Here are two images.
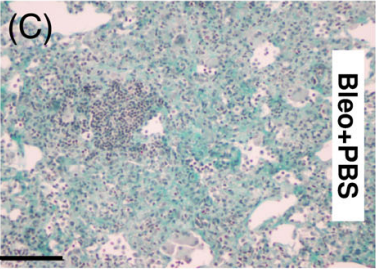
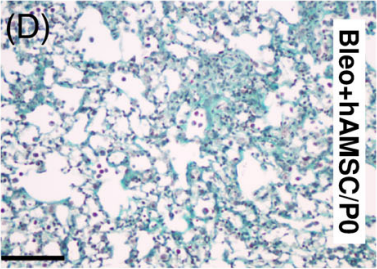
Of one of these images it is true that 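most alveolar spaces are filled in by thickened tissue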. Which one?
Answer: The first image.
